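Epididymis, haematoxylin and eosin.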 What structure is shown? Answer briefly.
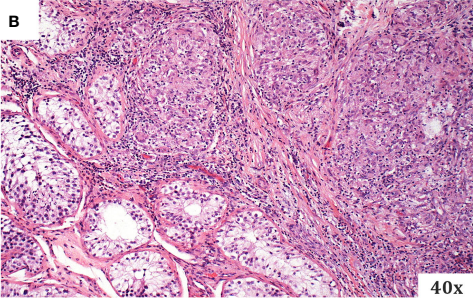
confluent non-caseating epithelioid granulomas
